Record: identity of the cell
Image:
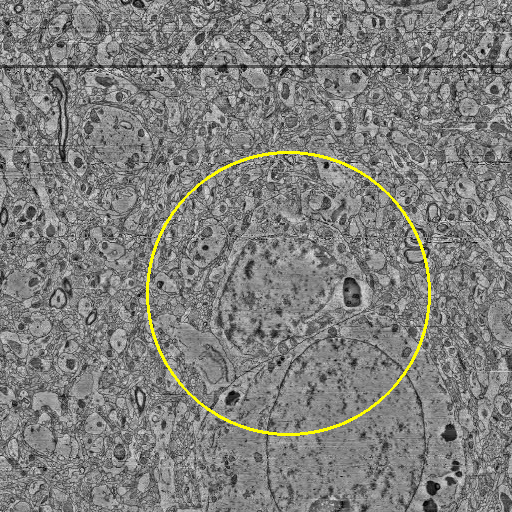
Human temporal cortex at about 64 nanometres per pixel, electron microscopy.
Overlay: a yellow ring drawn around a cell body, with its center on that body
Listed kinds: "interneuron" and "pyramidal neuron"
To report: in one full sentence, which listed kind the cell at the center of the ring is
In the image, the cell body at the ring's center belongs to an interneuron.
